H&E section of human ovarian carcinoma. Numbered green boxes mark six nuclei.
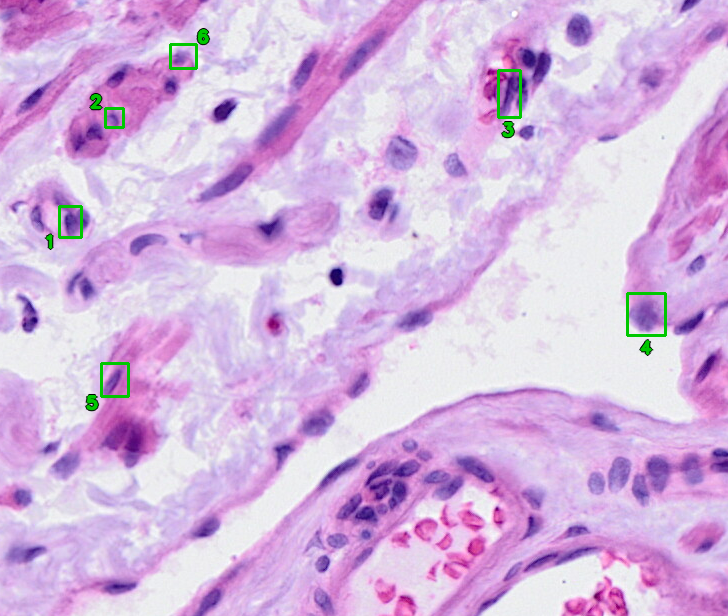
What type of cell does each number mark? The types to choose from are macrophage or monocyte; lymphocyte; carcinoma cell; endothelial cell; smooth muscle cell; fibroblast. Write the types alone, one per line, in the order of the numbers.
endothelial cell
smooth muscle cell
endothelial cell
endothelial cell
smooth muscle cell
smooth muscle cell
